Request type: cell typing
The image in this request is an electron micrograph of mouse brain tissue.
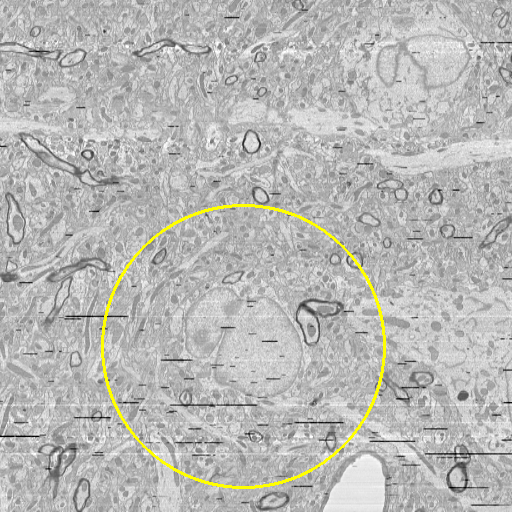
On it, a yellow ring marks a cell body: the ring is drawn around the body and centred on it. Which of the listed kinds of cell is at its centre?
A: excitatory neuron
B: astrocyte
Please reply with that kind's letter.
B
